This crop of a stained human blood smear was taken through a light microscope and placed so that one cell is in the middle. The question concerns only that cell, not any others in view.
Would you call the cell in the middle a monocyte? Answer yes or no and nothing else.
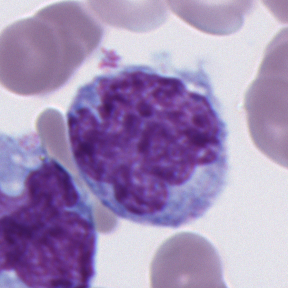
yes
